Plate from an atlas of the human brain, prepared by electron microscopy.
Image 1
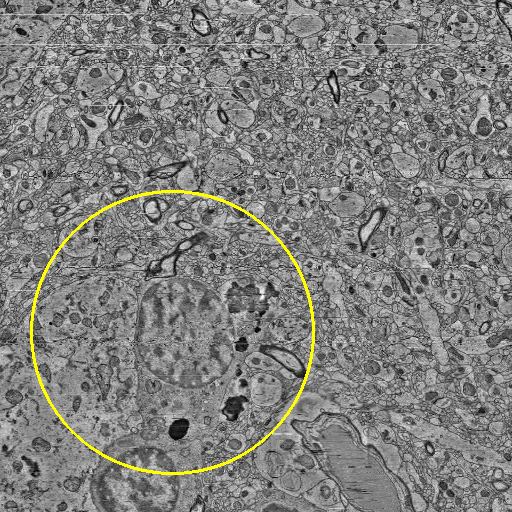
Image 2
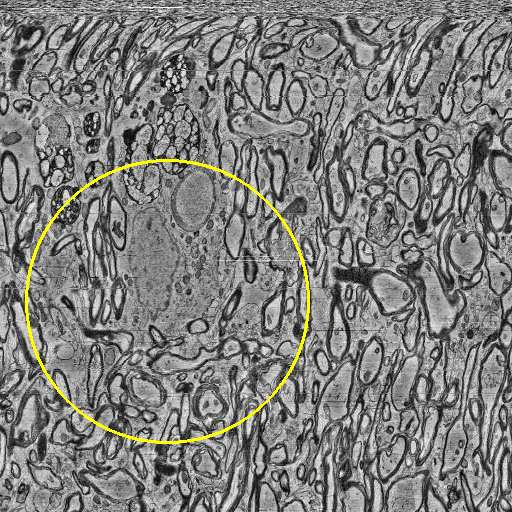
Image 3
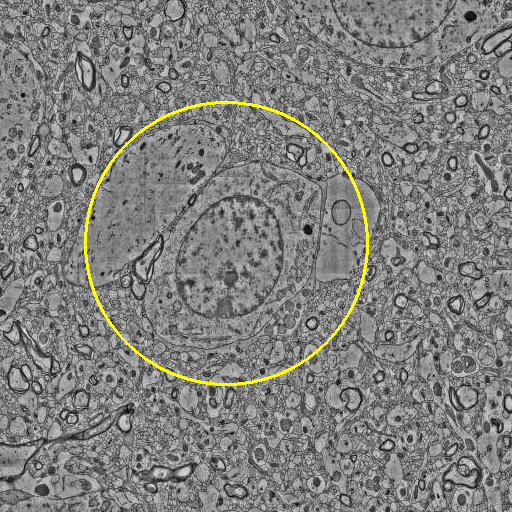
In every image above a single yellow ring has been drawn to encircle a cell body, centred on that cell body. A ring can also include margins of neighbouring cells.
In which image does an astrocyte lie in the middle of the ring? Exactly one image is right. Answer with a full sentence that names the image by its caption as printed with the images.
Image 2 holds the requested cell at the very centre of its ring.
